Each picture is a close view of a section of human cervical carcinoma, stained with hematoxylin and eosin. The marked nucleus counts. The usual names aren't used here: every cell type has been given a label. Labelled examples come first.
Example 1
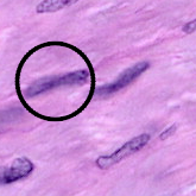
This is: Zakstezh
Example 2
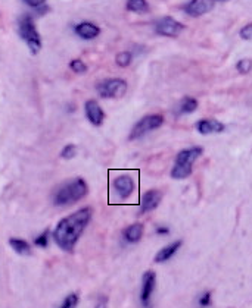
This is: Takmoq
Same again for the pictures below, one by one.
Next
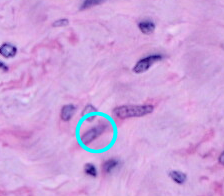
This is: Takmoq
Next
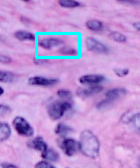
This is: Takmoq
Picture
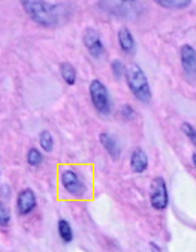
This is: Takmoq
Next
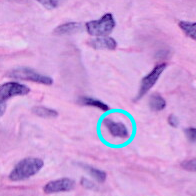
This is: Zakstezh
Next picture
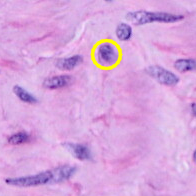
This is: Takmoq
